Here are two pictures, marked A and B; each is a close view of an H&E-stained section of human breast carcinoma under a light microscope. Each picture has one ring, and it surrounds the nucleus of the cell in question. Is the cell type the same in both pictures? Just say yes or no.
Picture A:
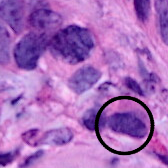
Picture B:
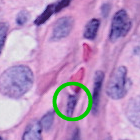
no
